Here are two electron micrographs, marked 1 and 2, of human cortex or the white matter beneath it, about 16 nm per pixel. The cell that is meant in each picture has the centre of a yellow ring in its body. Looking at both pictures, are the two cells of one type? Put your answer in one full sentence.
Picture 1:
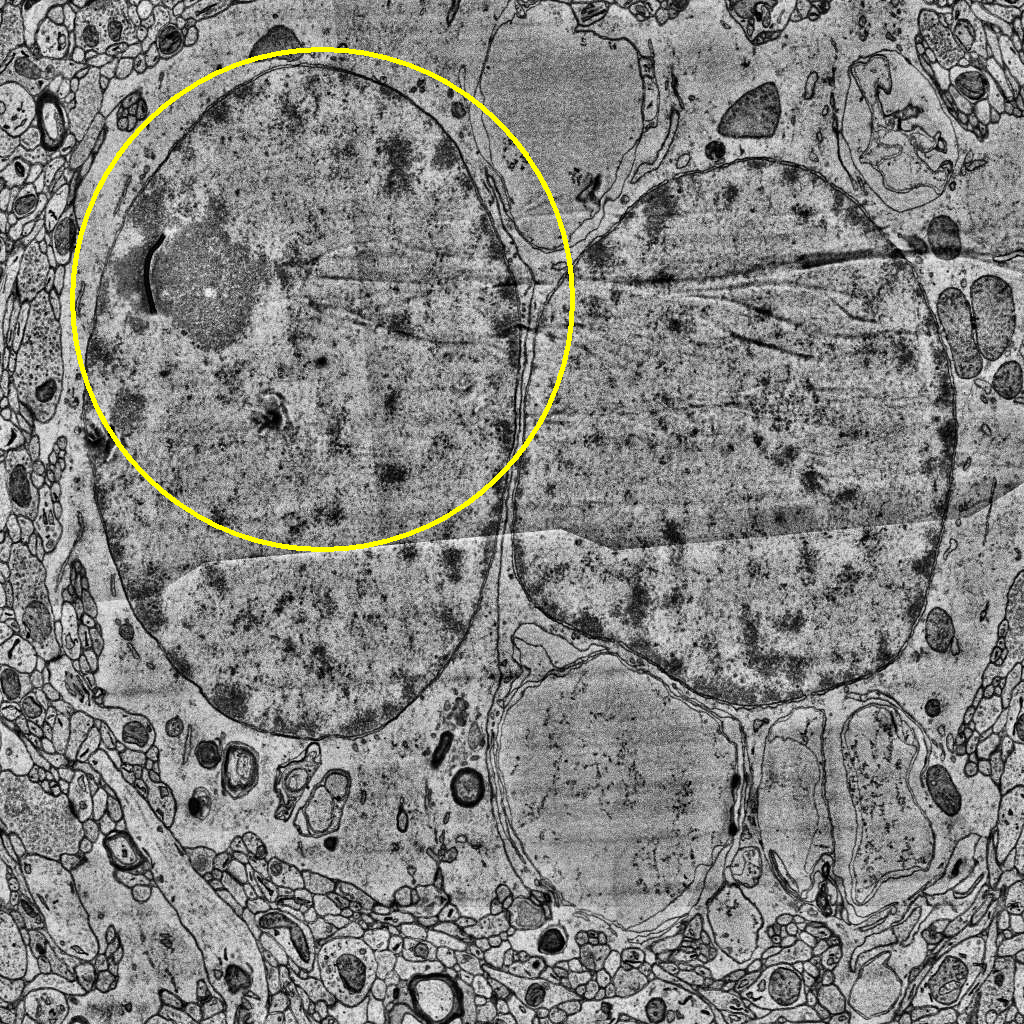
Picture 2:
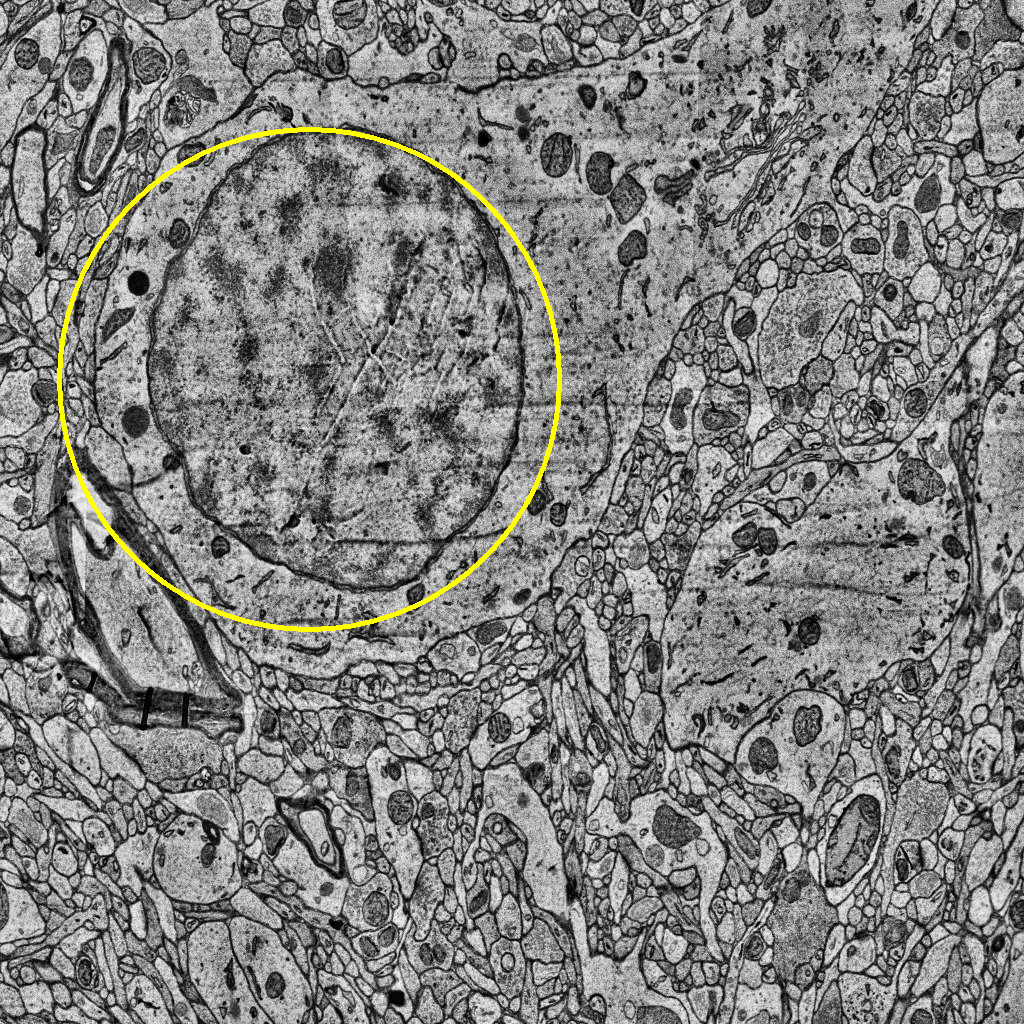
No, picture 1 shows an astrocyte and picture 2 shows a pyramidal neuron.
